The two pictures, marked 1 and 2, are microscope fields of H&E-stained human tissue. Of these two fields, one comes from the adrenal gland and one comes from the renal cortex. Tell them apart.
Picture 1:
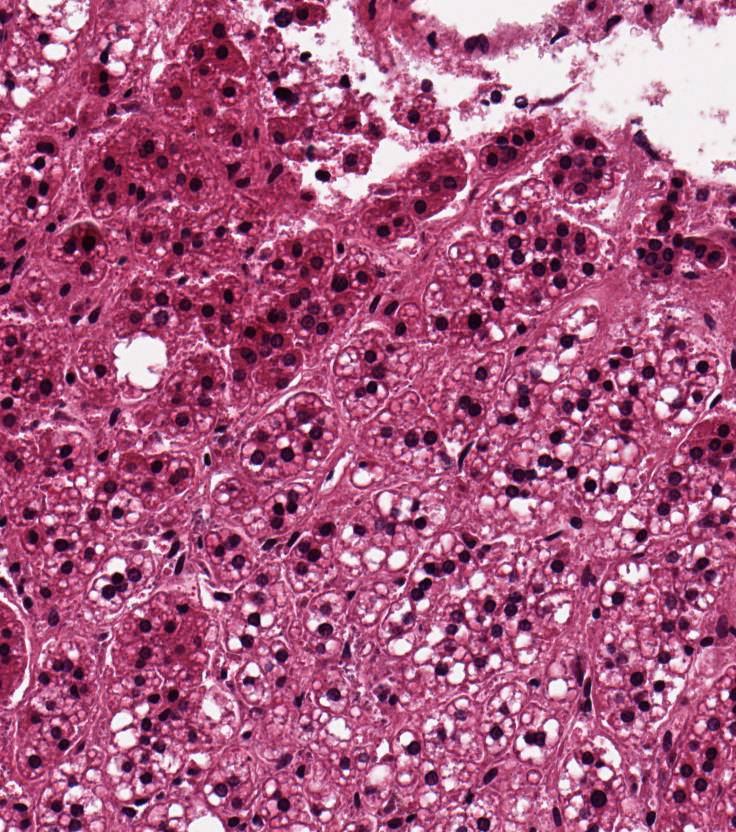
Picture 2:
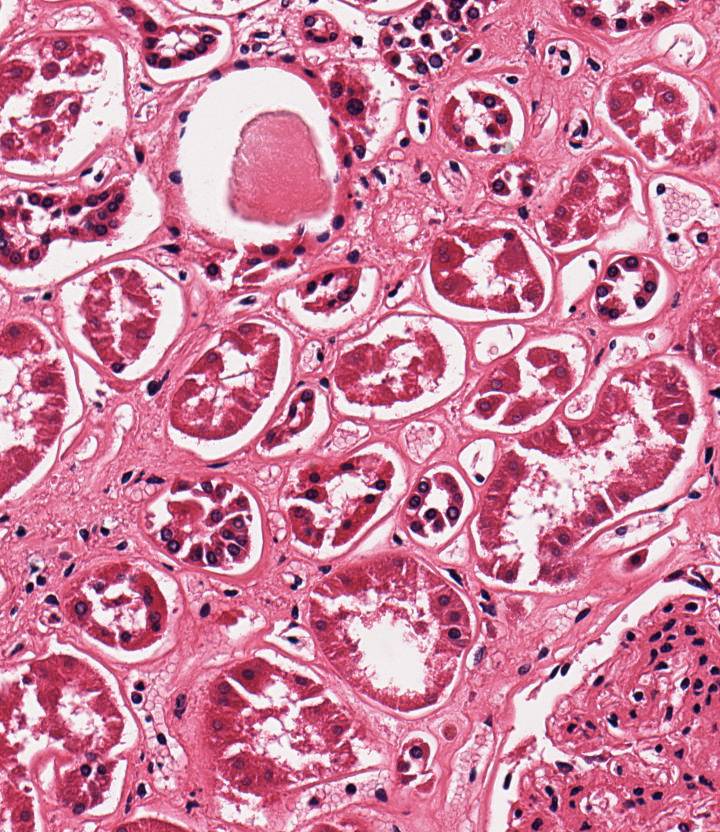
1: adrenal gland
2: renal cortex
